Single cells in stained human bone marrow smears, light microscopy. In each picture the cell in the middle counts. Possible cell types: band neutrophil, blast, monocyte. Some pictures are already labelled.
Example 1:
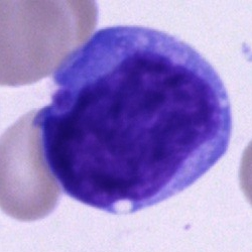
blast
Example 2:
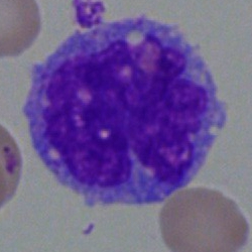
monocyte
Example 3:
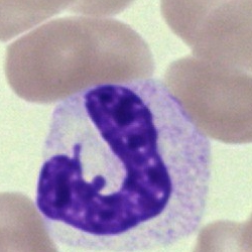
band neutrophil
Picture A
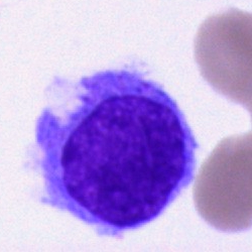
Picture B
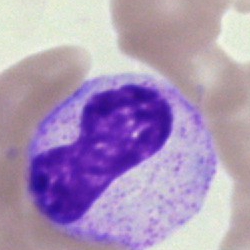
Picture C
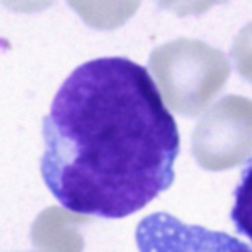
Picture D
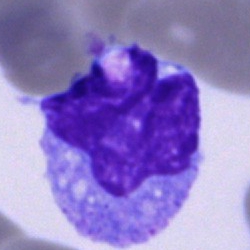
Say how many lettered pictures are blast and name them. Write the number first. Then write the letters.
Count: 2 (A, C)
